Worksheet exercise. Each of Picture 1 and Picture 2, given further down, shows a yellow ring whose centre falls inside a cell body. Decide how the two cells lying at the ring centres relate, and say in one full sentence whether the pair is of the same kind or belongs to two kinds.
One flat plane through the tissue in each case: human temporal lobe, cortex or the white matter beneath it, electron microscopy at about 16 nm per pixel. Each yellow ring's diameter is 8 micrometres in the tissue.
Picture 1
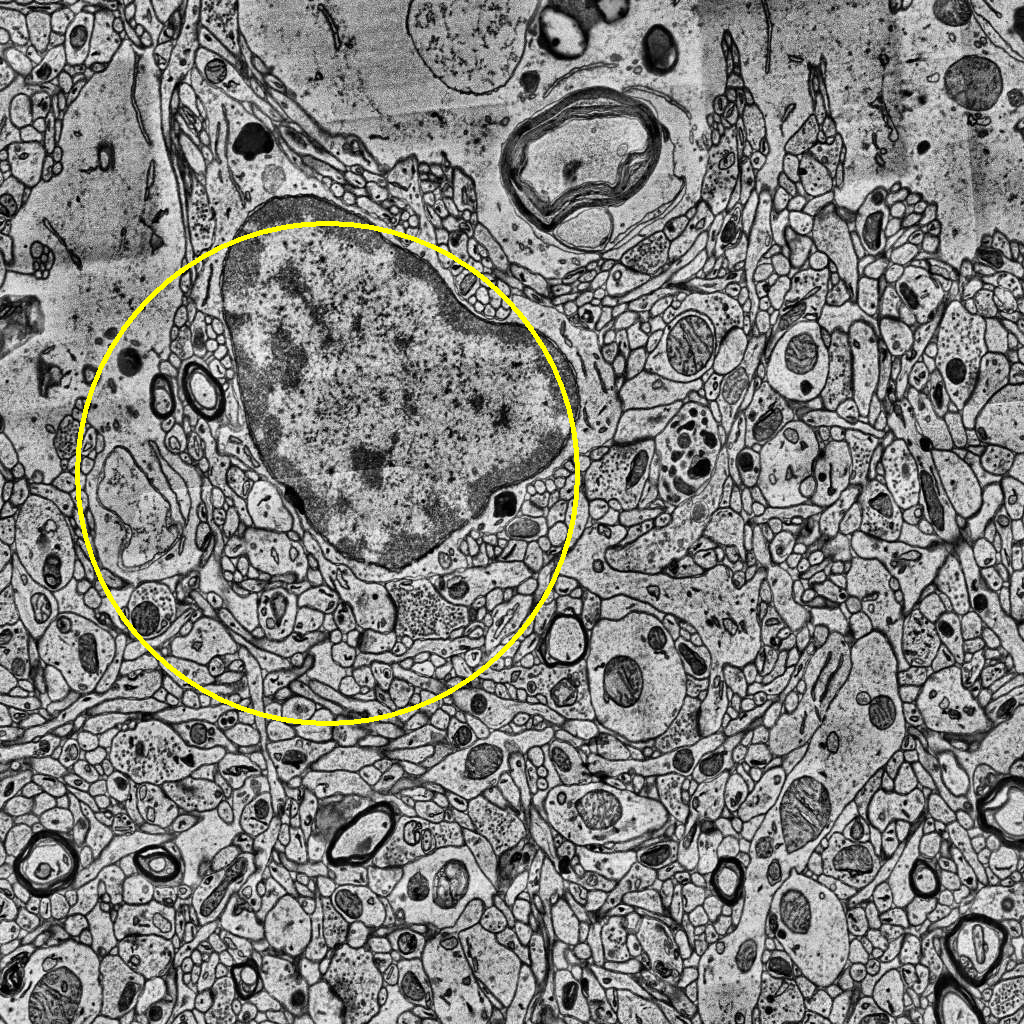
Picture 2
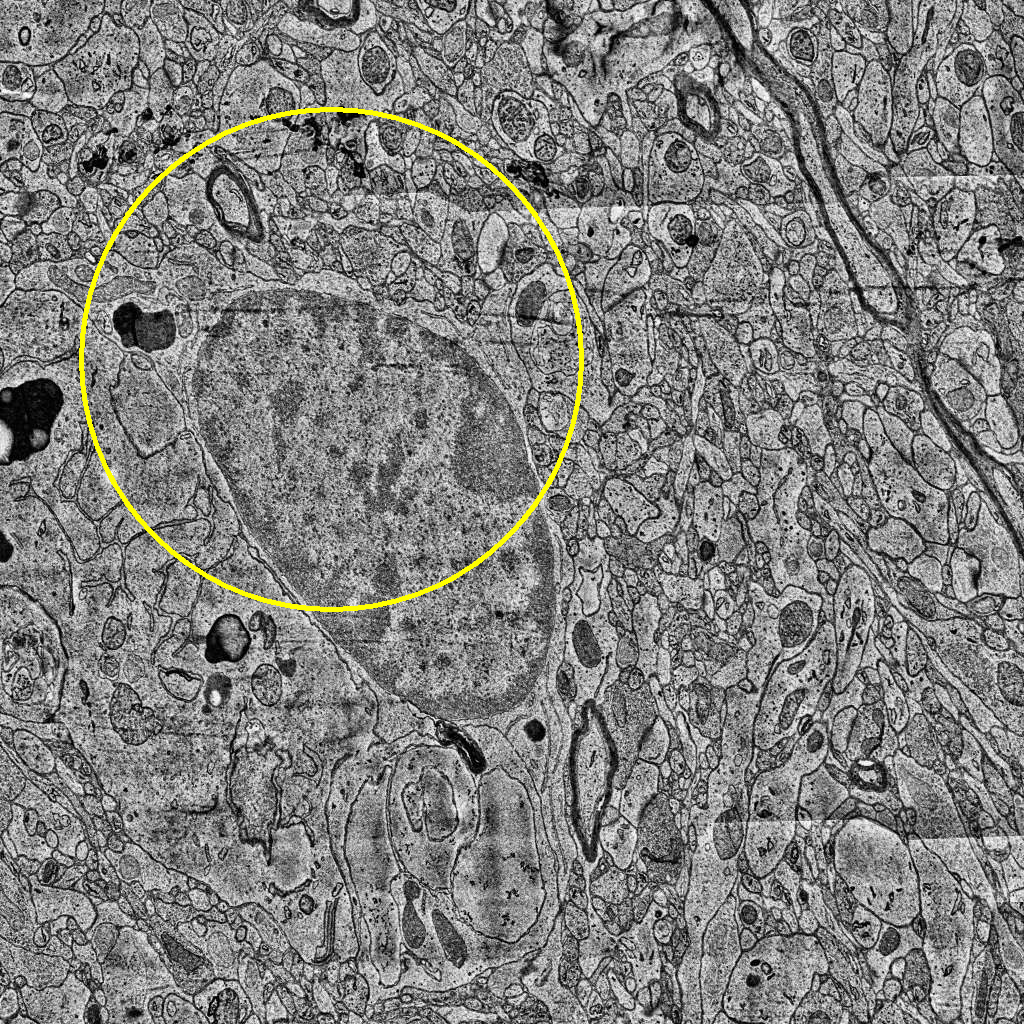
The cells at the ring centres in Picture 1 and Picture 2 are of the same kind.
